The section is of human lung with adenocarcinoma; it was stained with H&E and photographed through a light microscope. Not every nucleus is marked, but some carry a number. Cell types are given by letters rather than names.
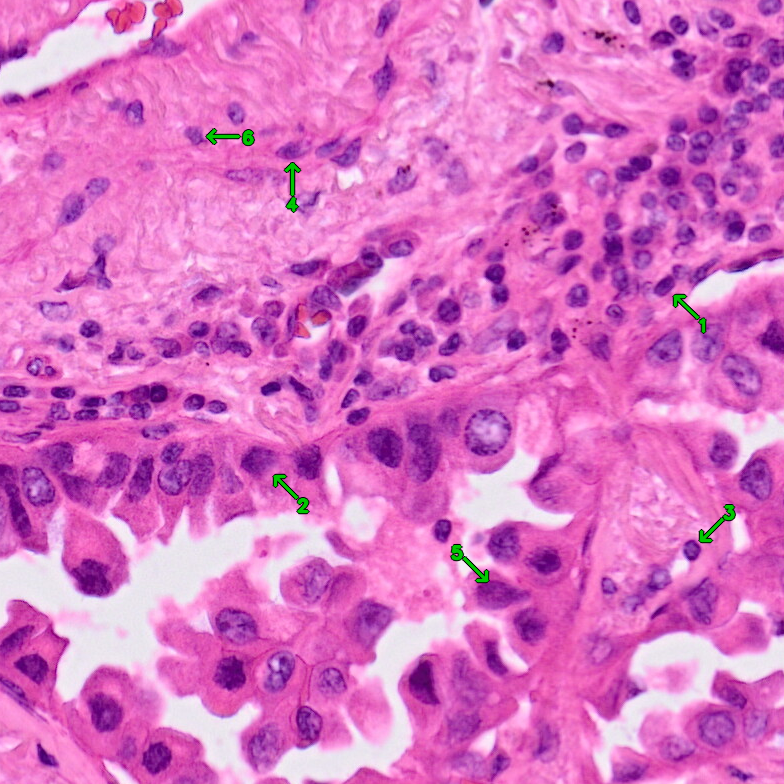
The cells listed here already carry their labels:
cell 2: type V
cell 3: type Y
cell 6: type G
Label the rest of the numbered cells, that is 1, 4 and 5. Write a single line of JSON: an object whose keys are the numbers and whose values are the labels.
{"1": "type Y", "4": "type G", "5": "type V"}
